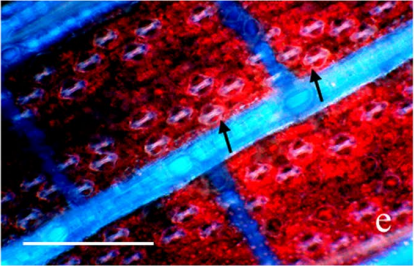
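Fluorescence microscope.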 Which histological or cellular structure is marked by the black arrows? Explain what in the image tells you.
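The arrows point to oval structures made of two paired cells around a central slit. Many such paired structures lie in regular rows between bright blue bands. That points to this answer: stomata.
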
